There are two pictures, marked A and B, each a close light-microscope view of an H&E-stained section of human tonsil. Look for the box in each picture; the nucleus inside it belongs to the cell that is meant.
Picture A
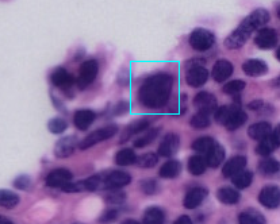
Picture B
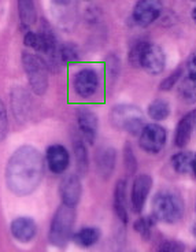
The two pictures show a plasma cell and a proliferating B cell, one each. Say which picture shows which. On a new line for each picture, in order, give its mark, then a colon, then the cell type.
A: proliferating B cell
B: plasma cell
